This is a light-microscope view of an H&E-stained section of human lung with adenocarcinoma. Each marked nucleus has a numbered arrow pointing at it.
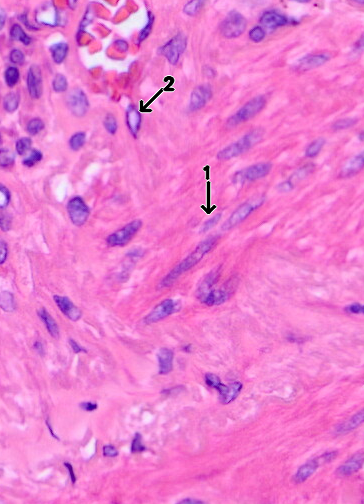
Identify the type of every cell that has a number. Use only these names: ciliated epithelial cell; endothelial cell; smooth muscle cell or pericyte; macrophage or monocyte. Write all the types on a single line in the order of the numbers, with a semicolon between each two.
smooth muscle cell or pericyte; endothelial cell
